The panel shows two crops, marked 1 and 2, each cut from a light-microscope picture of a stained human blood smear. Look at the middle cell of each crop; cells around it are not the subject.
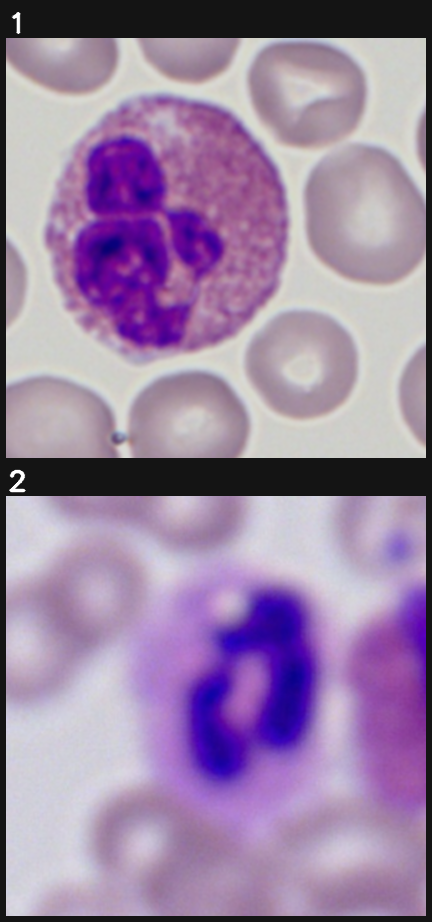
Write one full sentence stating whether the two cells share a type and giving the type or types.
No, crop 1 contains an eosinophil, and crop 2 contains a segmented neutrophil.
